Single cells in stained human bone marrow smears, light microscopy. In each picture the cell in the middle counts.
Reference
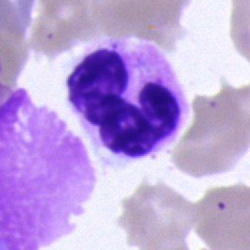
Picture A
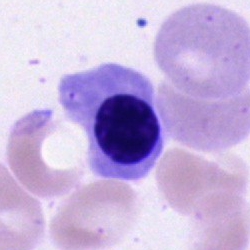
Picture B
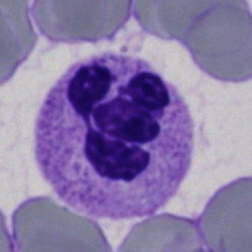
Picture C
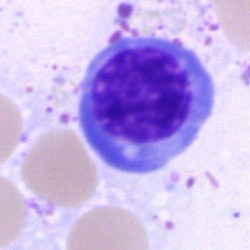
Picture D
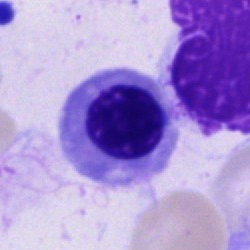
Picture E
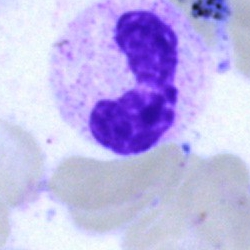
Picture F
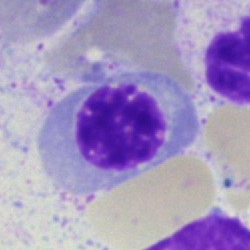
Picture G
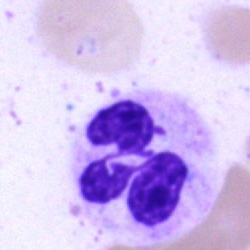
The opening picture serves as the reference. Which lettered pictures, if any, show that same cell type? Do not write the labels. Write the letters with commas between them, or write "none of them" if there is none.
B, E, G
